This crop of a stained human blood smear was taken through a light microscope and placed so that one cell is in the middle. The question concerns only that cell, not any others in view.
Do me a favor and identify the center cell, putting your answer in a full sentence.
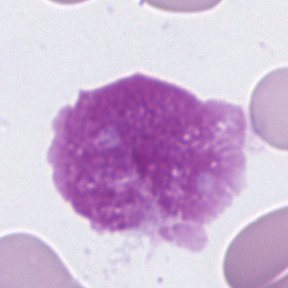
To answer, the cell in the center of the crop is a smudge cell.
